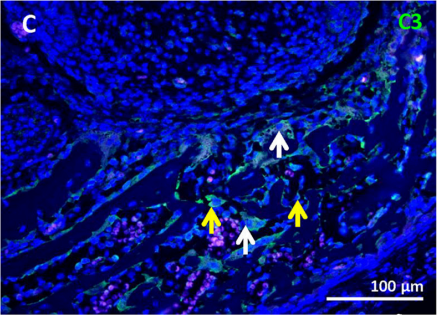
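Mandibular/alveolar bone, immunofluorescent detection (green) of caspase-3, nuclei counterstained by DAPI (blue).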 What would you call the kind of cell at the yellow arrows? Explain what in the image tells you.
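They line the edges of dark bone trabeculae. So: osteoblasts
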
